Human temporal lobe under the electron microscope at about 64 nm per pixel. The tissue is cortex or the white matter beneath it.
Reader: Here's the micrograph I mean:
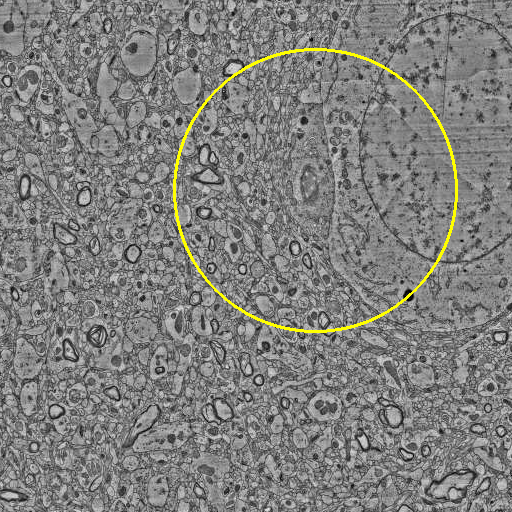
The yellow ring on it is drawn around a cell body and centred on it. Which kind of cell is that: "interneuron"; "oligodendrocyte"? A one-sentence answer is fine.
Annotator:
The ring is centred on an oligodendrocyte.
